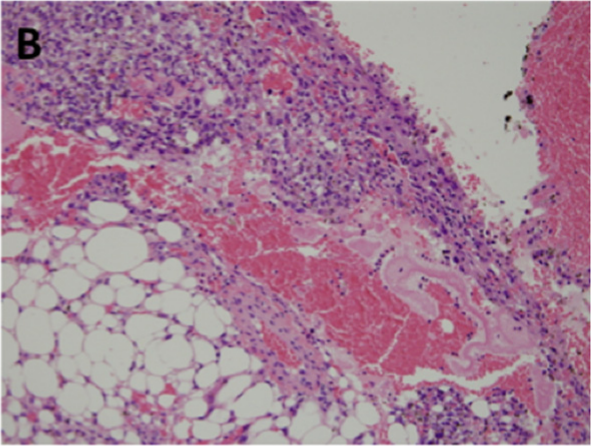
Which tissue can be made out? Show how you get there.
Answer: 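Large empty round vacuoles with thin walls fill the lower left. The vacuoles sit next to cellular septa.
Fat.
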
